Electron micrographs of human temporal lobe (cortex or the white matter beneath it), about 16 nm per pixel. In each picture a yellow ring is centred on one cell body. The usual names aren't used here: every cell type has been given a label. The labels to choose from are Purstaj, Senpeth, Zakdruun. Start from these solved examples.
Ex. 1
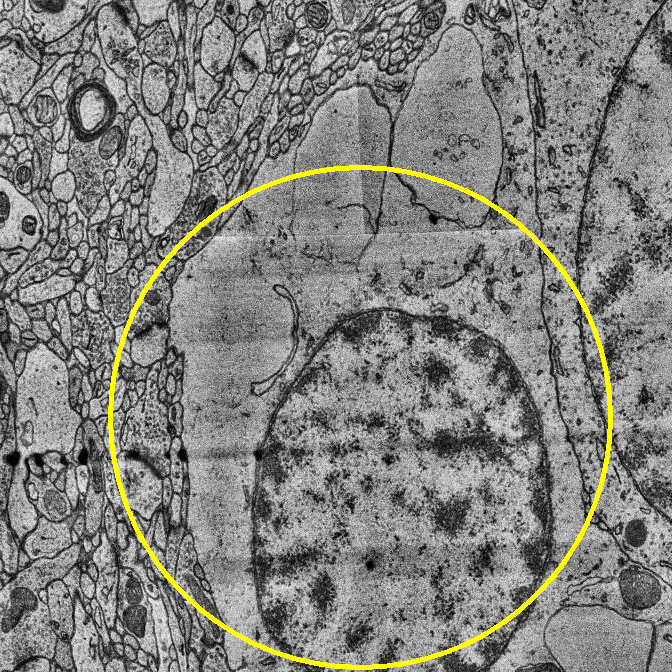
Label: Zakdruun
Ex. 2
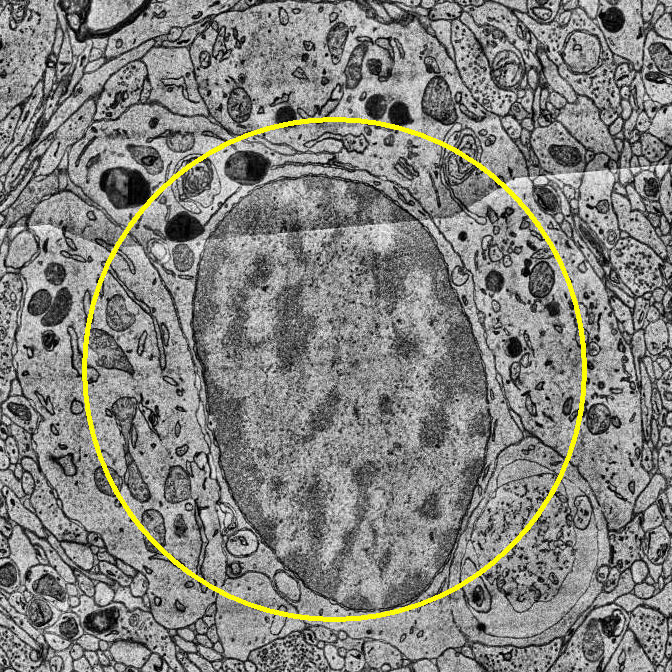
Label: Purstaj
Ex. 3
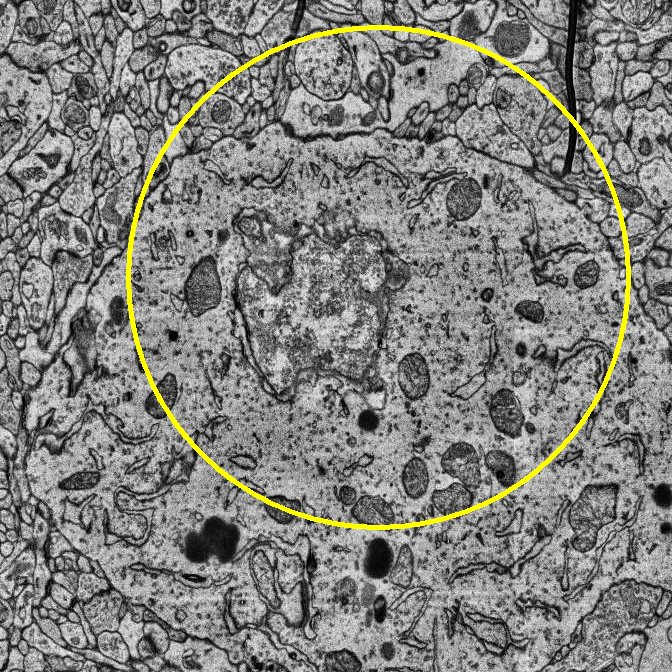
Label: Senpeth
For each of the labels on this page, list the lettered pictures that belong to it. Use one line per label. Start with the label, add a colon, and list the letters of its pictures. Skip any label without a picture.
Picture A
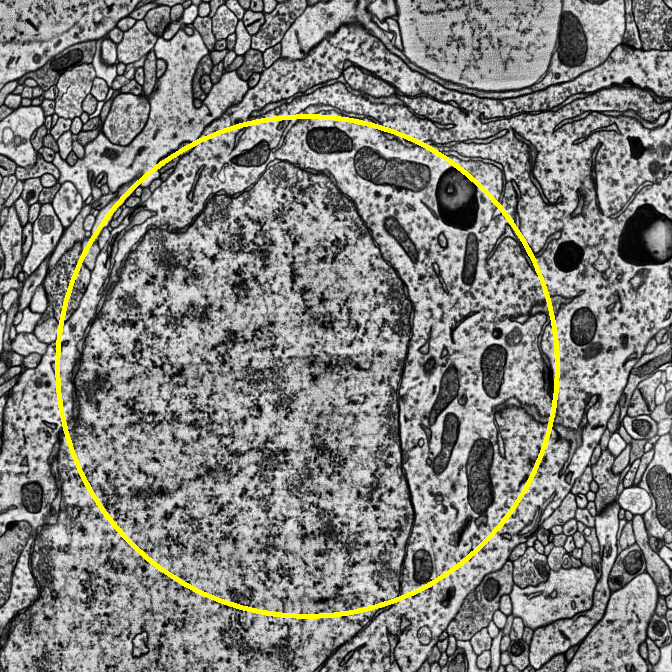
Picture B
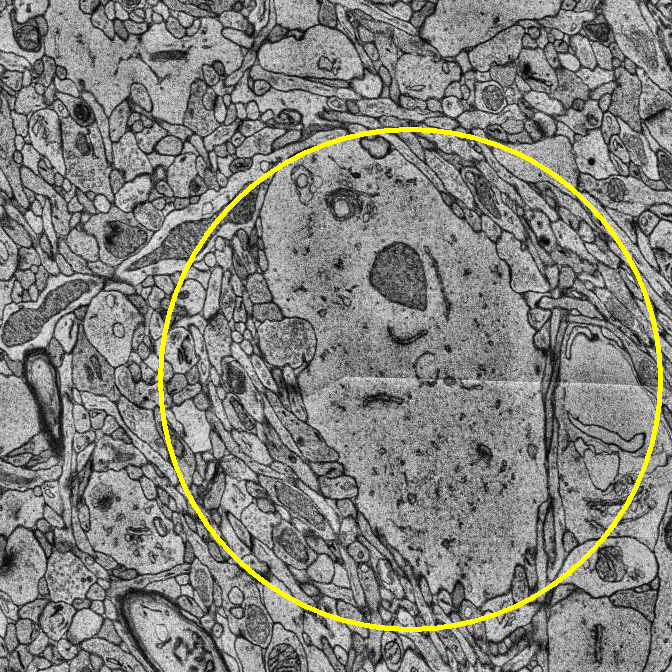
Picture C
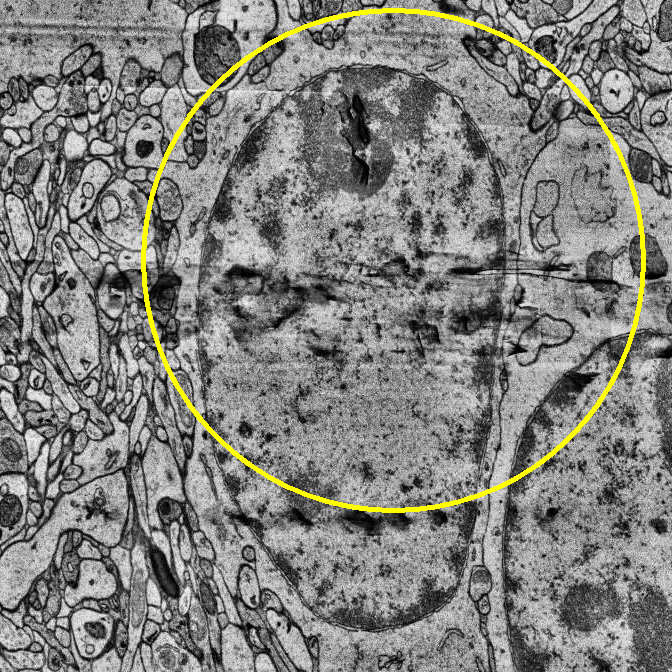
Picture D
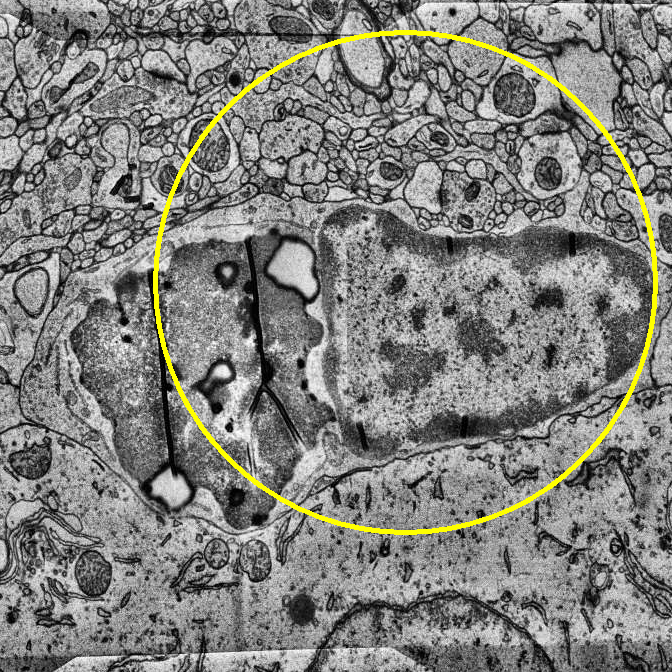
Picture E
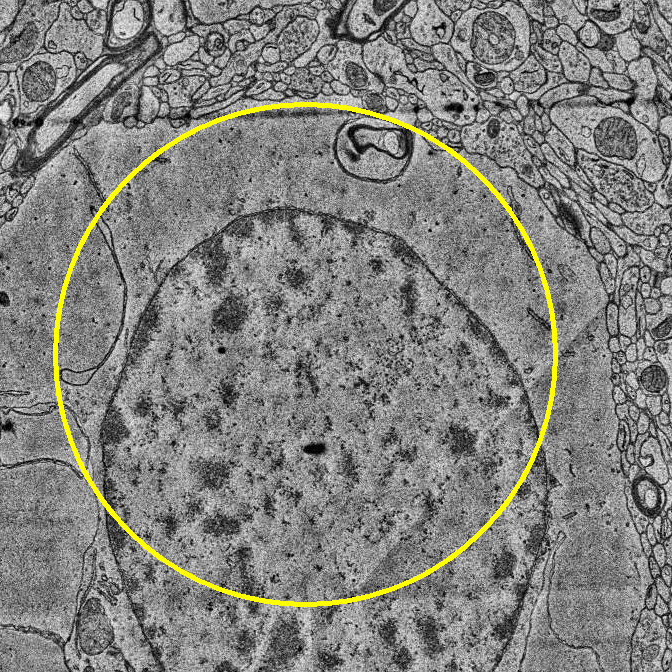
Purstaj: D
Senpeth: A
Zakdruun: B, C, E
